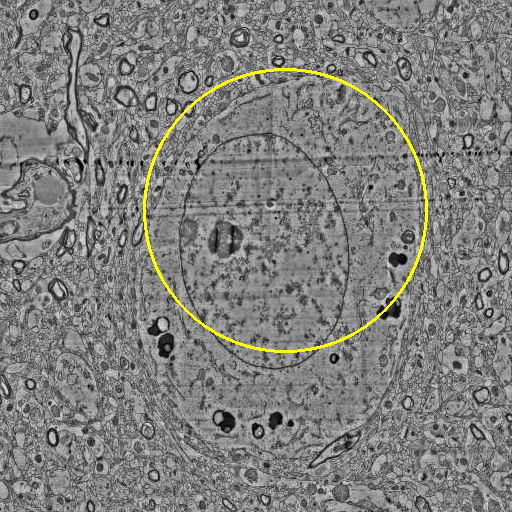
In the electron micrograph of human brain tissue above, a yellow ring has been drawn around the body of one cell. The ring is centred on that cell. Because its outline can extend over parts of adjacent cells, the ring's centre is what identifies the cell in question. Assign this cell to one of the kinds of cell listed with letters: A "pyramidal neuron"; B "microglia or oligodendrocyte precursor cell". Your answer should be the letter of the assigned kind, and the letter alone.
A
